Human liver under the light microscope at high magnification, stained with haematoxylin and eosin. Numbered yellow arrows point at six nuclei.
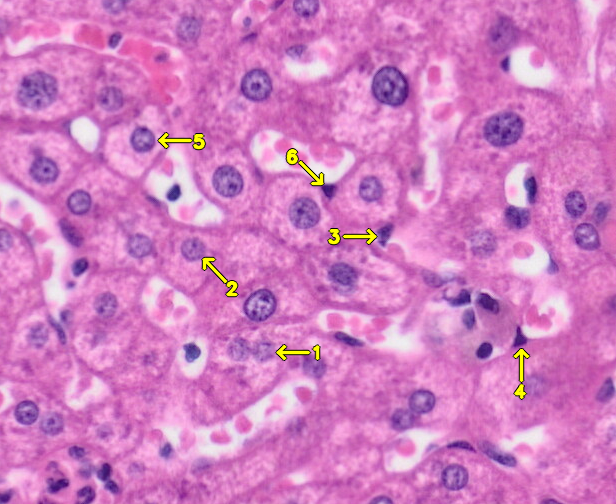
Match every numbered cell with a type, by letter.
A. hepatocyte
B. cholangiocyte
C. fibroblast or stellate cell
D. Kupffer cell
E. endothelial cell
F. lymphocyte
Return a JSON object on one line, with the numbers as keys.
{"1": "A", "2": "A", "3": "E", "4": "C", "5": "A", "6": "C"}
